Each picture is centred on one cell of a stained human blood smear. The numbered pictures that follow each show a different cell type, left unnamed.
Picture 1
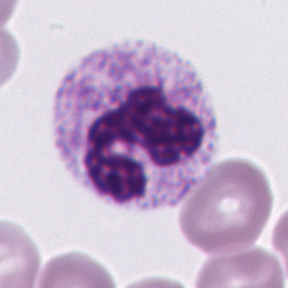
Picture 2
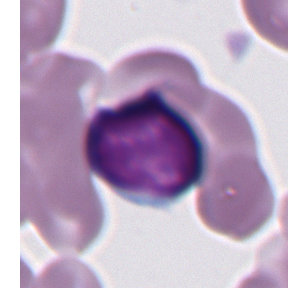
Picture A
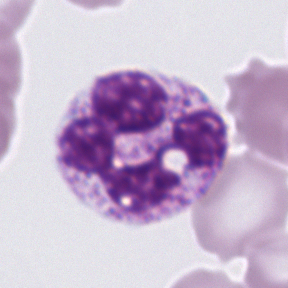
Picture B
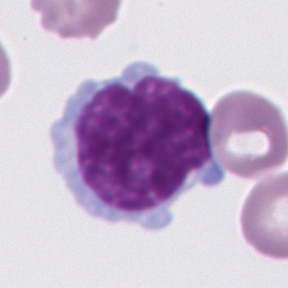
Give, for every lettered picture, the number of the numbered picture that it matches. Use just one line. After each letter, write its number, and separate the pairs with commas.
A 1, B 2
